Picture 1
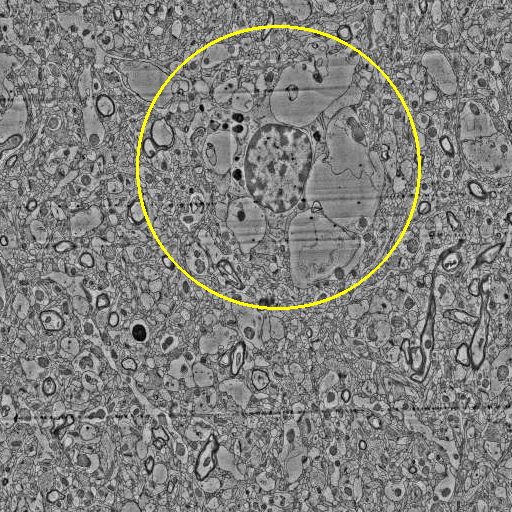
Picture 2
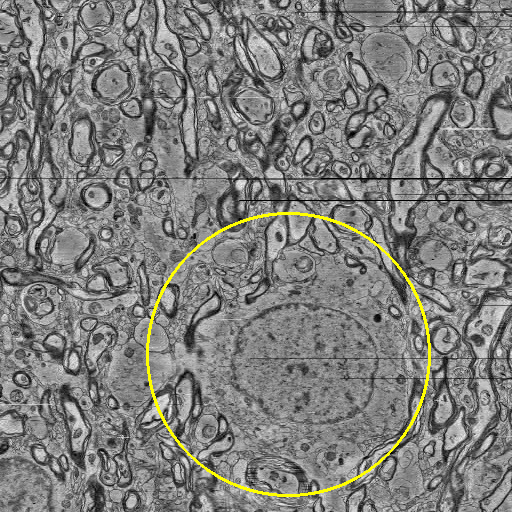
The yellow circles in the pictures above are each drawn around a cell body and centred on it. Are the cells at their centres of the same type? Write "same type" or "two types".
two types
